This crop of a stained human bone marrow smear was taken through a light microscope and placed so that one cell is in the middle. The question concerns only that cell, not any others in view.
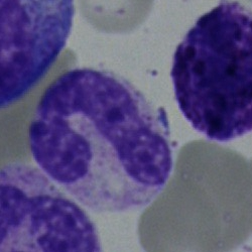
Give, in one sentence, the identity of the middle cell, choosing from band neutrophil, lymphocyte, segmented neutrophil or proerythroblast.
The cell of interest, in the center, is a segmented neutrophil.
